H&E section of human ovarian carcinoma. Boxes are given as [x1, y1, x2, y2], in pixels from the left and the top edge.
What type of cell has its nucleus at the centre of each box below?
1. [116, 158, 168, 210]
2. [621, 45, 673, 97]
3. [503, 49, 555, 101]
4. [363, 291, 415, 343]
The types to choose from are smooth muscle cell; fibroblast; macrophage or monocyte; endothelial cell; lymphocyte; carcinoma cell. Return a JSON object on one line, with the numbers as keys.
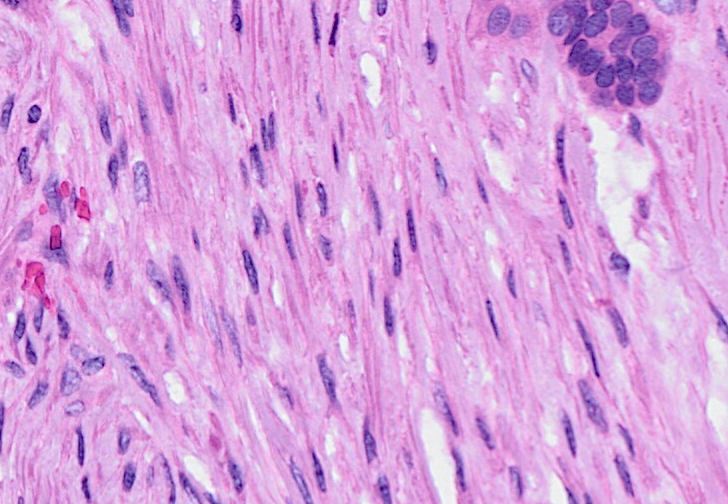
{"1": "fibroblast", "2": "carcinoma cell", "3": "fibroblast", "4": "fibroblast"}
